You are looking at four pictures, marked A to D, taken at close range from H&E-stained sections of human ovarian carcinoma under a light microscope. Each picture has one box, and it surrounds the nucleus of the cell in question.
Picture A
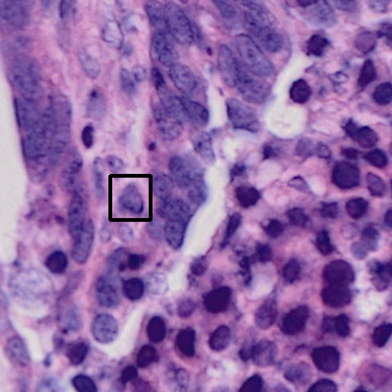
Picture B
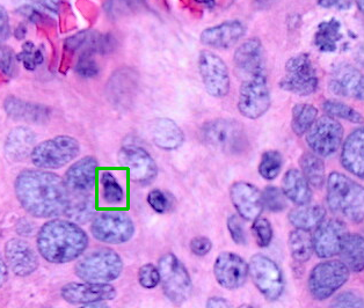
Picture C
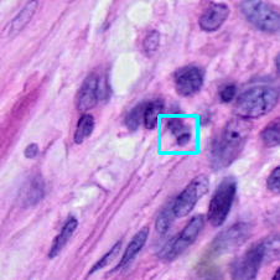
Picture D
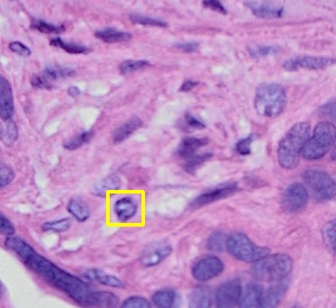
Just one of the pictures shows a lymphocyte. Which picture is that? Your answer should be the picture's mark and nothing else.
B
